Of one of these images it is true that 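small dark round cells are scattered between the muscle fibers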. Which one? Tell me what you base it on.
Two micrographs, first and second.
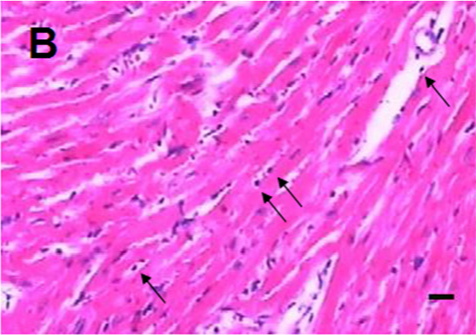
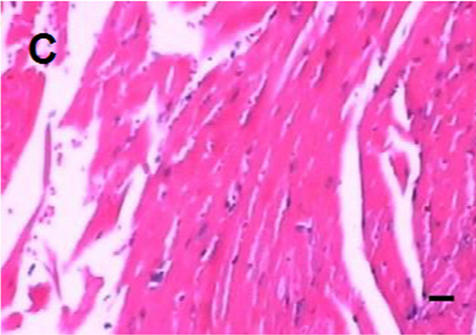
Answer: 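Second image: muscle fibers with elongated nuclei and no arrowed small round cells between them. First image: small dark round nuclei, marked by arrows, lie among the fibers. On this evidence: the first image.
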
